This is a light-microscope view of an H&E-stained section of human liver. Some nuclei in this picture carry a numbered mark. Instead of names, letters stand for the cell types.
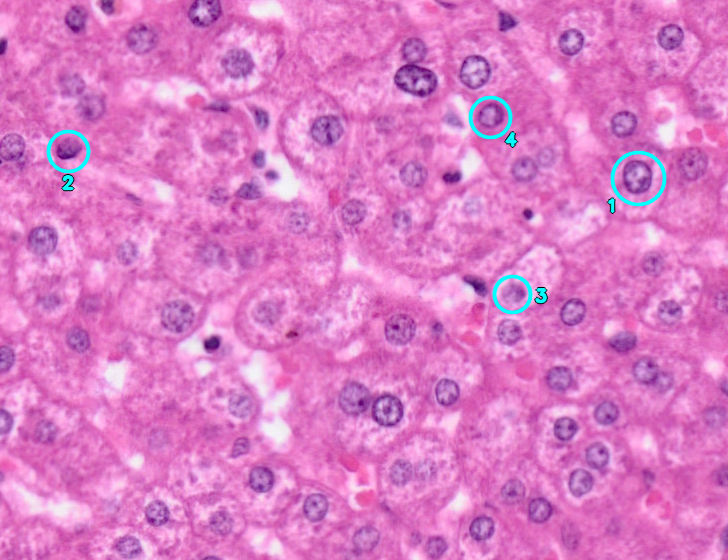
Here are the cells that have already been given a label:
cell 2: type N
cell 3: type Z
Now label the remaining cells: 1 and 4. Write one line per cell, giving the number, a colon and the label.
1: type Z
4: type Z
